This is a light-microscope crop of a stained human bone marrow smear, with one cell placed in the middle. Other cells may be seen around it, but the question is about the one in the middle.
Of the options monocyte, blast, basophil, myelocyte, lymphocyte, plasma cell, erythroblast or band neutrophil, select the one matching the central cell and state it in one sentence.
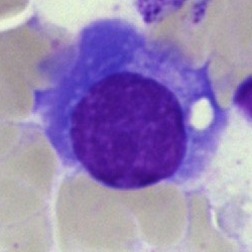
The middle cell in this particular crop is a plasma cell.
